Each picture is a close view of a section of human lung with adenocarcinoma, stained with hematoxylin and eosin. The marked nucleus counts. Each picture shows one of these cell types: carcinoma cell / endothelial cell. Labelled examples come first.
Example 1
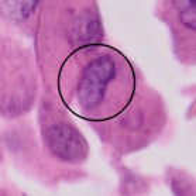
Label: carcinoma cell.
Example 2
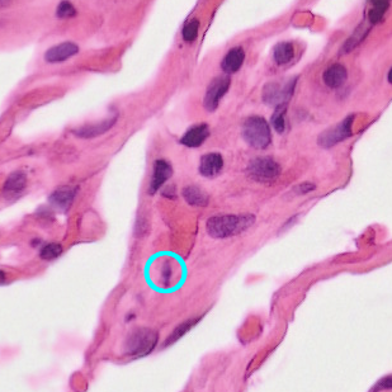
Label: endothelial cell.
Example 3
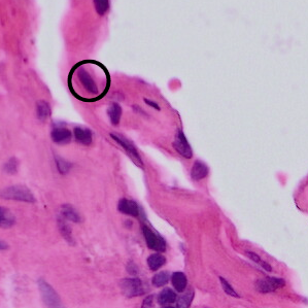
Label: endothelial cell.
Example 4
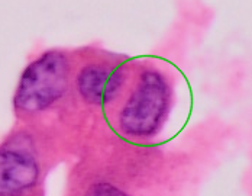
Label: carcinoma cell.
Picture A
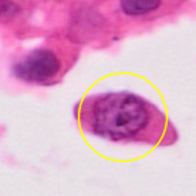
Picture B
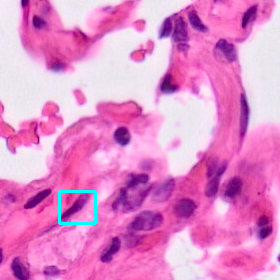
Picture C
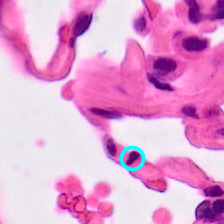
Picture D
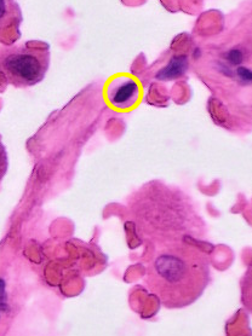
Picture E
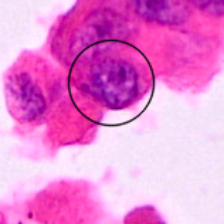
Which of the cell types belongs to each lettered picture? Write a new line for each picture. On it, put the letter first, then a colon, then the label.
A: carcinoma cell.
B: endothelial cell.
C: endothelial cell.
D: endothelial cell.
E: carcinoma cell.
